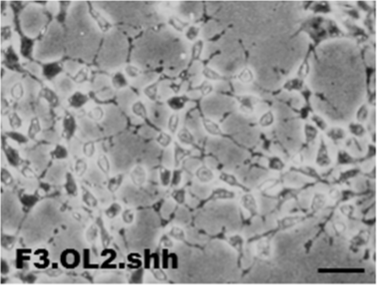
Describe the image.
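The cell bodies are small, round to oval, and many appear phase-bright with a dark outline, while others are darker and more compact. Thin, fine processes extend from the cell bodies and join those of neighbouring cells, forming a dense, interconnected network of threads across the substrate. Between the cells and their processes the background is smooth and grey. Compared with a flat spread culture, the cells here have small bodies relative to the length of their processes.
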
